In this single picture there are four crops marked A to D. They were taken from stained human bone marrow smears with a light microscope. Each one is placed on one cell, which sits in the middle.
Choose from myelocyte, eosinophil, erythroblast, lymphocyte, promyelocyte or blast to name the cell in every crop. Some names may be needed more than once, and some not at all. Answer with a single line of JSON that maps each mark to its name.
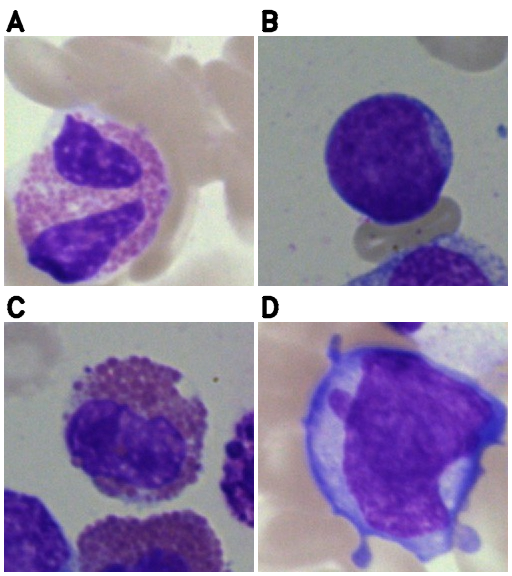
{"A": "eosinophil", "B": "blast", "C": "eosinophil", "D": "blast"}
